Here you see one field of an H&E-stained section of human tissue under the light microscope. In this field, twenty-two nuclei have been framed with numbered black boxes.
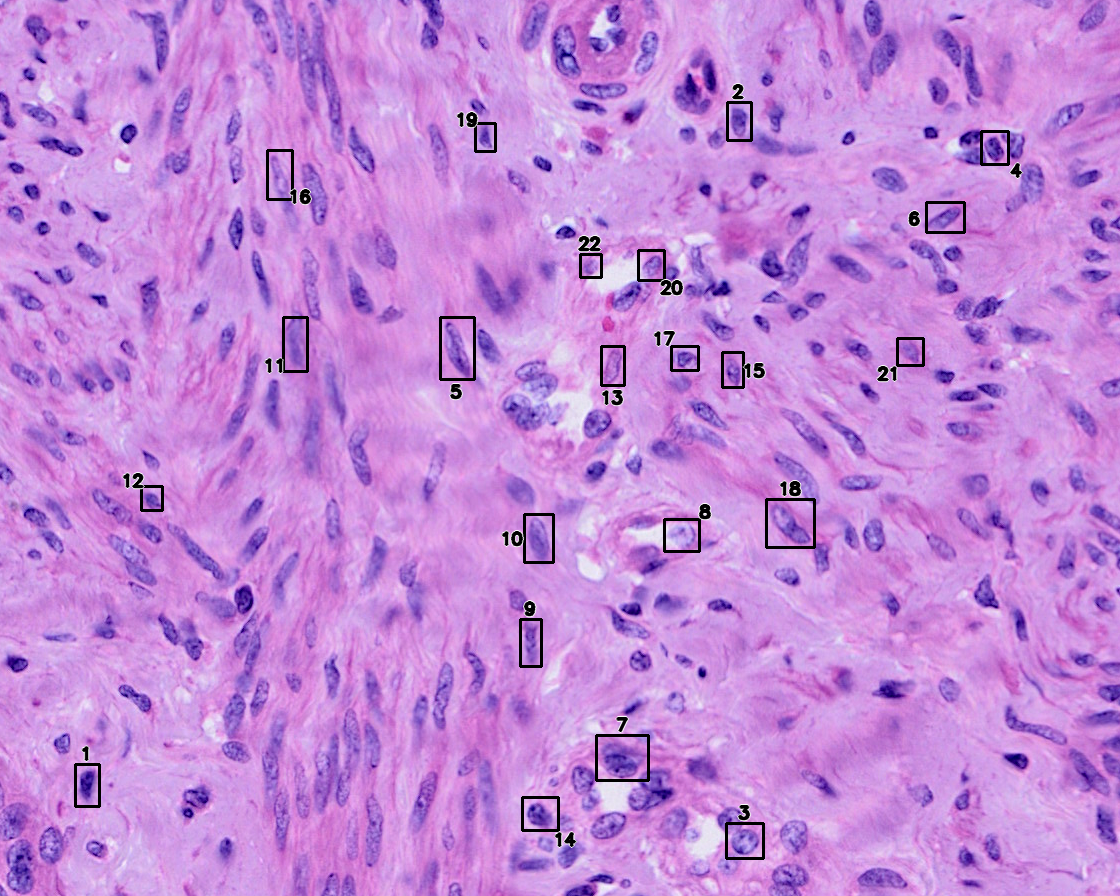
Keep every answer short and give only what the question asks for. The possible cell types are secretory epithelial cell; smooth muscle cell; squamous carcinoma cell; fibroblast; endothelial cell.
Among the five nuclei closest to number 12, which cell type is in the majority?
smooth muscle cell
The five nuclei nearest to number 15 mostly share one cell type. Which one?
smooth muscle cell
